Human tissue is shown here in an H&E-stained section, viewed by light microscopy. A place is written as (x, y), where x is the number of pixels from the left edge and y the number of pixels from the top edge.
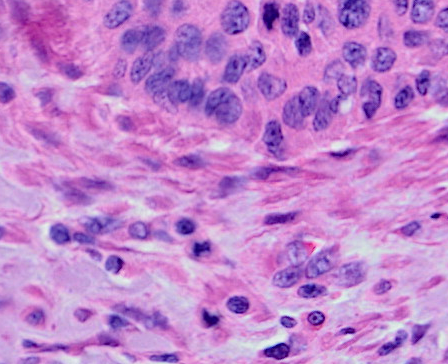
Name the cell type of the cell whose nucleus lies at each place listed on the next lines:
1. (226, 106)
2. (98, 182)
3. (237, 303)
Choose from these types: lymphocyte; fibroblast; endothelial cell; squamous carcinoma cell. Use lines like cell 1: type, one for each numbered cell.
cell 1: squamous carcinoma cell
cell 2: fibroblast
cell 3: lymphocyte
